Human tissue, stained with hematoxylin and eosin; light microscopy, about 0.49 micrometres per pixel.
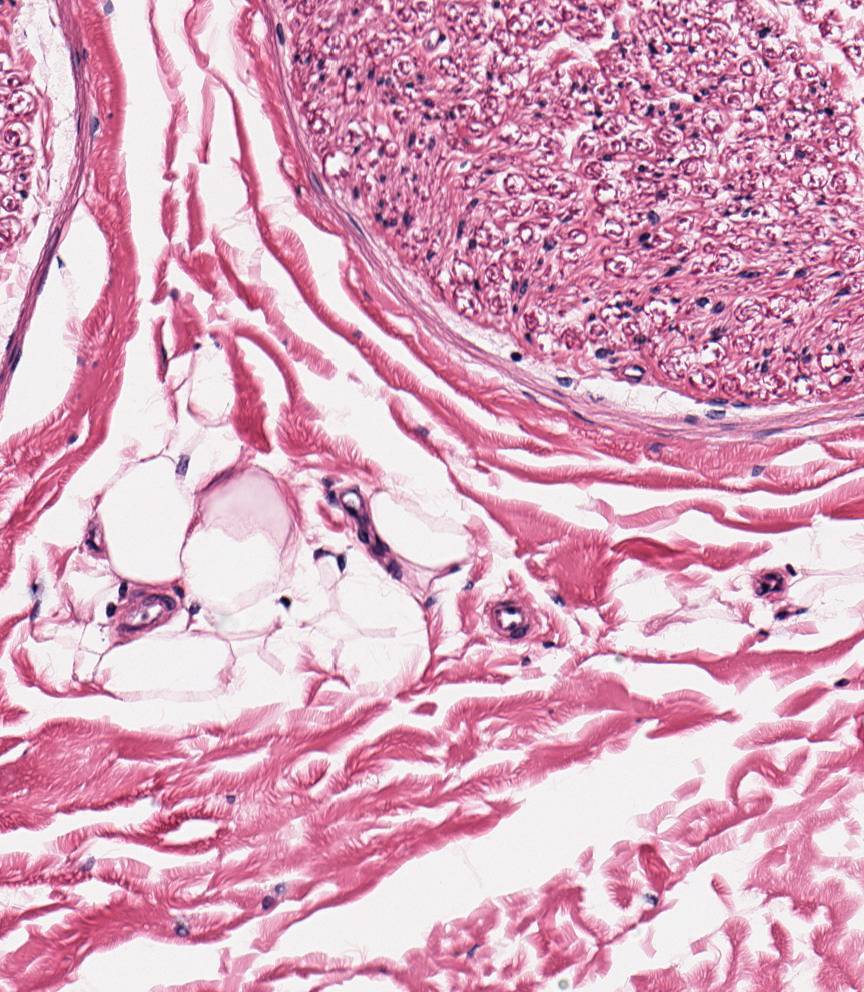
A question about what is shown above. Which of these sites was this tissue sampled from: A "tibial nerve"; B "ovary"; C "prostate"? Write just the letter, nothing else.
A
